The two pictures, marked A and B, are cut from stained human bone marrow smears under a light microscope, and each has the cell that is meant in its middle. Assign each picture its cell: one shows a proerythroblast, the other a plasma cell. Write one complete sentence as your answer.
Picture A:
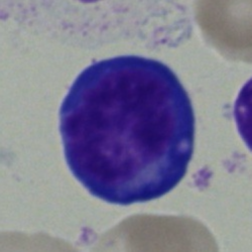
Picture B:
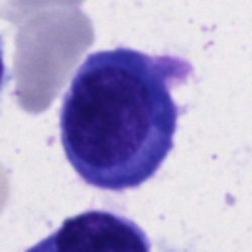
Picture B shows a plasma cell, while picture A shows a proerythroblast.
